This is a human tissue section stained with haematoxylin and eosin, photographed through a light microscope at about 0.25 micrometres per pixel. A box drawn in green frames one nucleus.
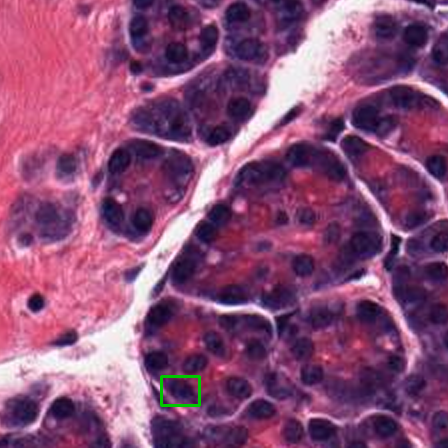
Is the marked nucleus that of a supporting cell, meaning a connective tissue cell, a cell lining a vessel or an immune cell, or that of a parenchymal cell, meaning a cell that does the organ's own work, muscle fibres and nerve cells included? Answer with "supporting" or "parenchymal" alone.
parenchymal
